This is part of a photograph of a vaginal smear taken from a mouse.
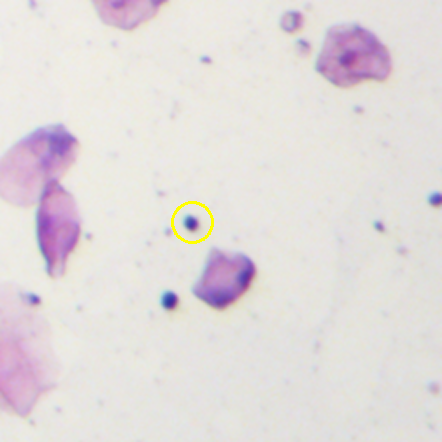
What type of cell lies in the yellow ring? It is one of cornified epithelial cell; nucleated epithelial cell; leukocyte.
The ringed cell is a leukocyte.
